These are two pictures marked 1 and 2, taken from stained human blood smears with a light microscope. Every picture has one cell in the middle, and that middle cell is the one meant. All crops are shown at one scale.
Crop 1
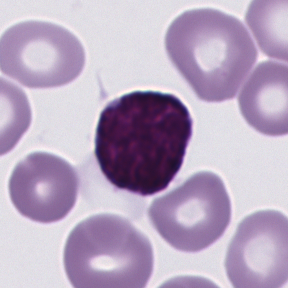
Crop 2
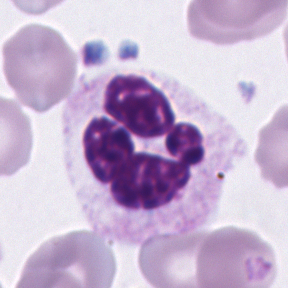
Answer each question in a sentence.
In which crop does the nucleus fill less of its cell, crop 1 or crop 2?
It is the cell in crop 2 that is filled less by its nucleus.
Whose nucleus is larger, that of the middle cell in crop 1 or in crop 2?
Larger is the nucleus in crop 2, at roughly 1.5 times the area of the other.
